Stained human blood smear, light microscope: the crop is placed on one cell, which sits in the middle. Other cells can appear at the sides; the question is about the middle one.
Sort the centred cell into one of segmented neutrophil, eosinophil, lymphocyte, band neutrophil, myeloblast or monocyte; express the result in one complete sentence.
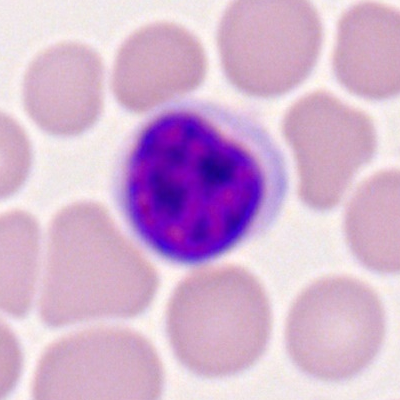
The single cell at the center of the crop is a lymphocyte.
